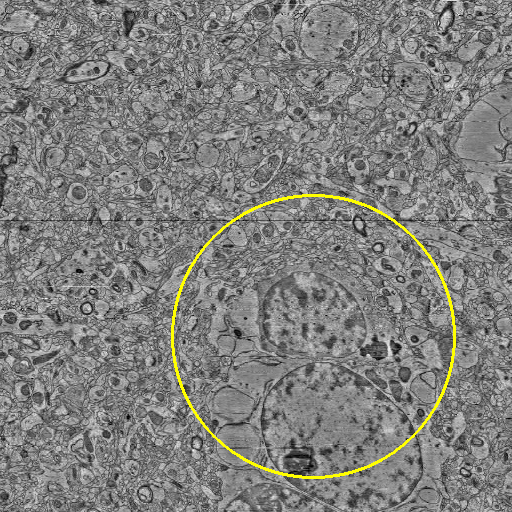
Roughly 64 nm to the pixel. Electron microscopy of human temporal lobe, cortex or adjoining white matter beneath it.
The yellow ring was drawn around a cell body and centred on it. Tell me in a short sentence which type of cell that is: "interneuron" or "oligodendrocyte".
The cell at the ring's centre is an oligodendrocyte.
